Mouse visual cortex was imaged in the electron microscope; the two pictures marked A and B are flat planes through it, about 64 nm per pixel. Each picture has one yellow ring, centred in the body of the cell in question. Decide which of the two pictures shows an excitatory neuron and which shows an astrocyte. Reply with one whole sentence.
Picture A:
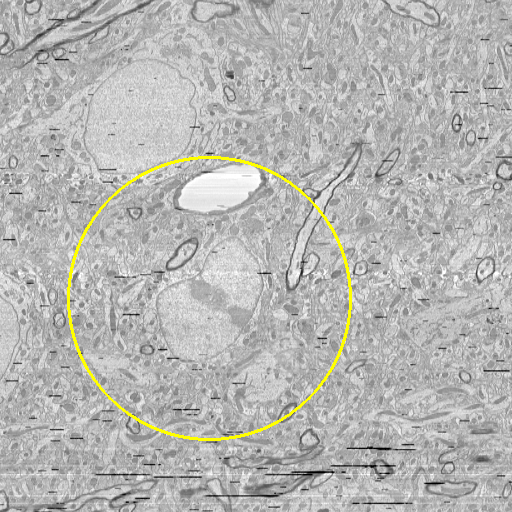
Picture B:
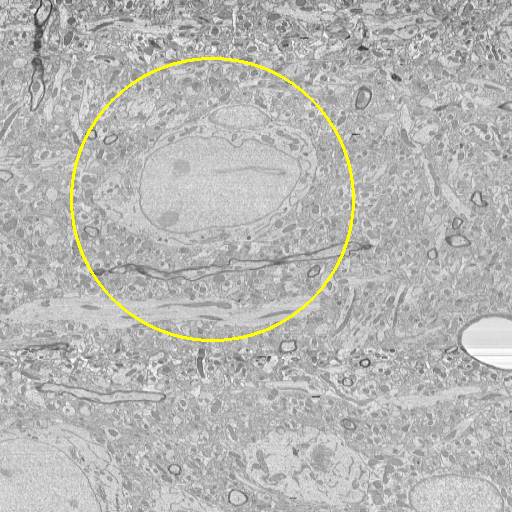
It is picture A that shows an astrocyte, and picture B that shows an excitatory neuron.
